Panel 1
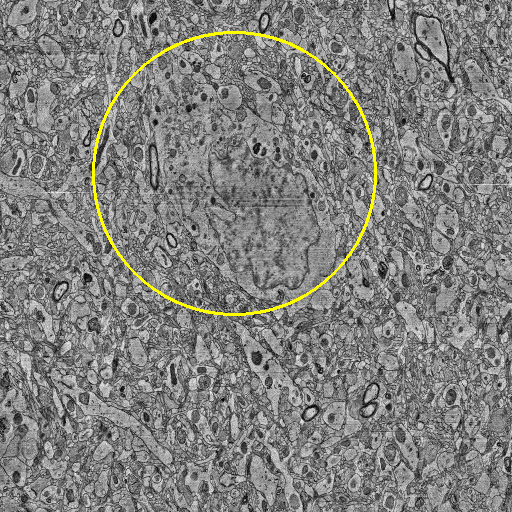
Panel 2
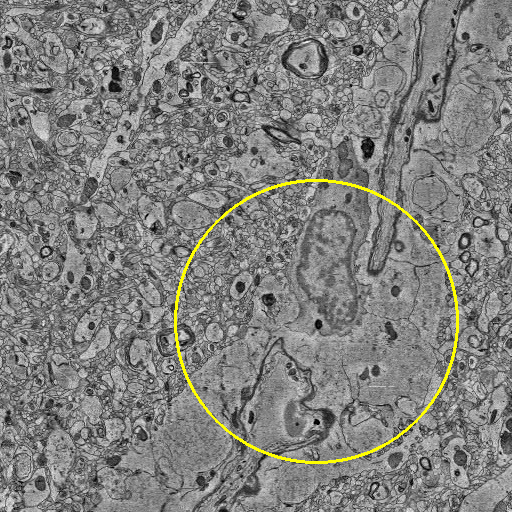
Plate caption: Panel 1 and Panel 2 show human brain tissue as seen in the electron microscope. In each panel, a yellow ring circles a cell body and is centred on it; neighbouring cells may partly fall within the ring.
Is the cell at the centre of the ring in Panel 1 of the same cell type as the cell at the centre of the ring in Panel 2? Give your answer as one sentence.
No, the two cells are of two types.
